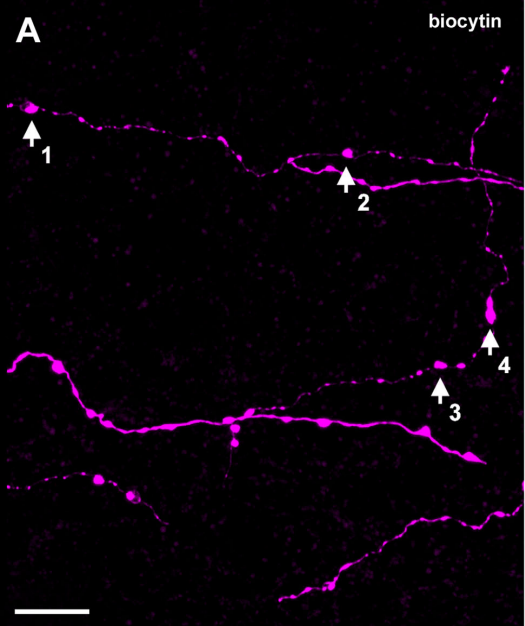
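The fibres are very thin and run mostly from side to side across the field, some wavy, one turning downward and then back. Along their course they swell at intervals into small round or oval beads, the varicosities, separated by fine stretches of fibre; numbered arrows pick out a few of these swellings. No cell body lies in this field, only the branching axon.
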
